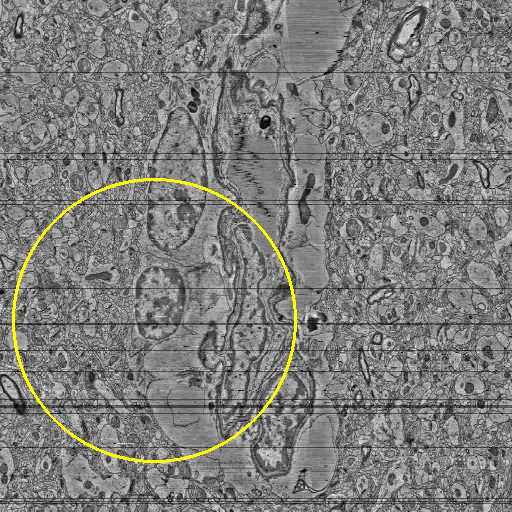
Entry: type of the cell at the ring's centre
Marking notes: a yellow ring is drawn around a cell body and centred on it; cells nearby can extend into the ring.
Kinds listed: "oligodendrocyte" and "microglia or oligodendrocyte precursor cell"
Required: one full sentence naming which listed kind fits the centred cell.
My entry names a microglial cell or oligodendrocyte precursor cell as the cell whose body the yellow ring centres on.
